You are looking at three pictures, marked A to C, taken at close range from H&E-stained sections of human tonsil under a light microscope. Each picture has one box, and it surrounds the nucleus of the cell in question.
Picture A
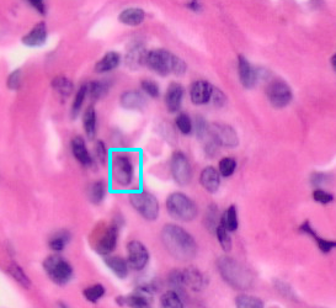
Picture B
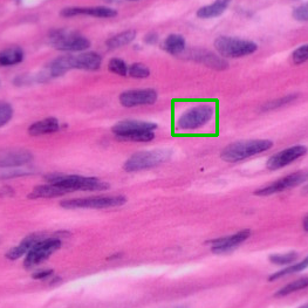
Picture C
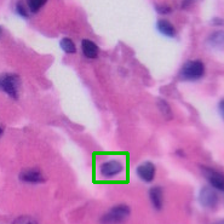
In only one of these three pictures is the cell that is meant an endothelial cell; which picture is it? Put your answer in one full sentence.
The picture with the endothelial cell is A.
